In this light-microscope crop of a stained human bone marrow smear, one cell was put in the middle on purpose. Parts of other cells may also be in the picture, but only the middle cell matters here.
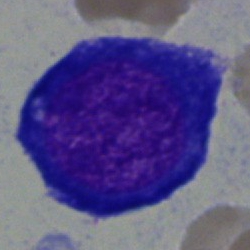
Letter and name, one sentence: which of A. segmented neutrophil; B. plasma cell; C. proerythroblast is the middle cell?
The cell centred in the crop is a proerythroblast, and the correct option is thus C.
